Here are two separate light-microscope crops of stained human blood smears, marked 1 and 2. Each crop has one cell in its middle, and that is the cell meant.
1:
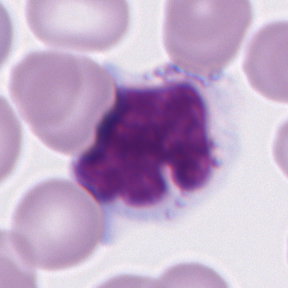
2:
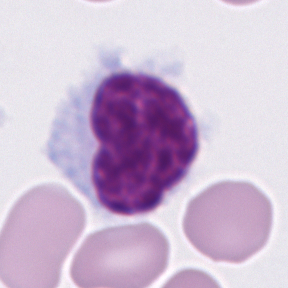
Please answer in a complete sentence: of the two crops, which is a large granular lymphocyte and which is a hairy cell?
Crop 1 depicts a large granular lymphocyte, and crop 2 depicts a hairy cell.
